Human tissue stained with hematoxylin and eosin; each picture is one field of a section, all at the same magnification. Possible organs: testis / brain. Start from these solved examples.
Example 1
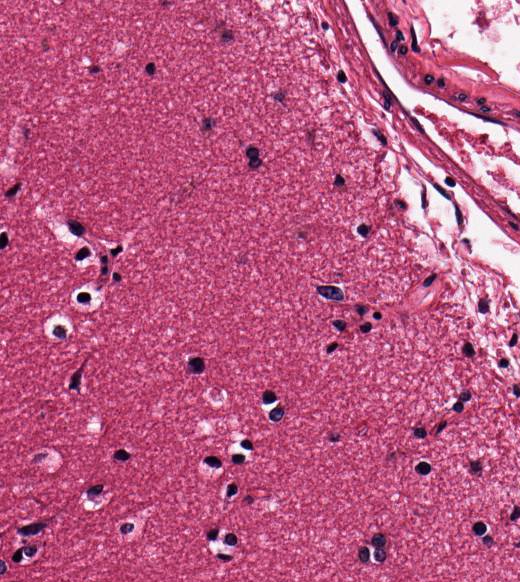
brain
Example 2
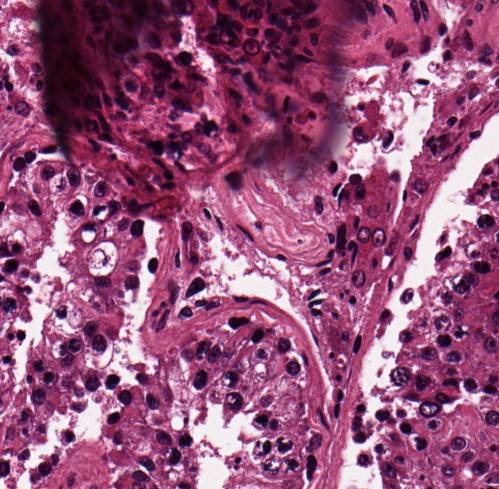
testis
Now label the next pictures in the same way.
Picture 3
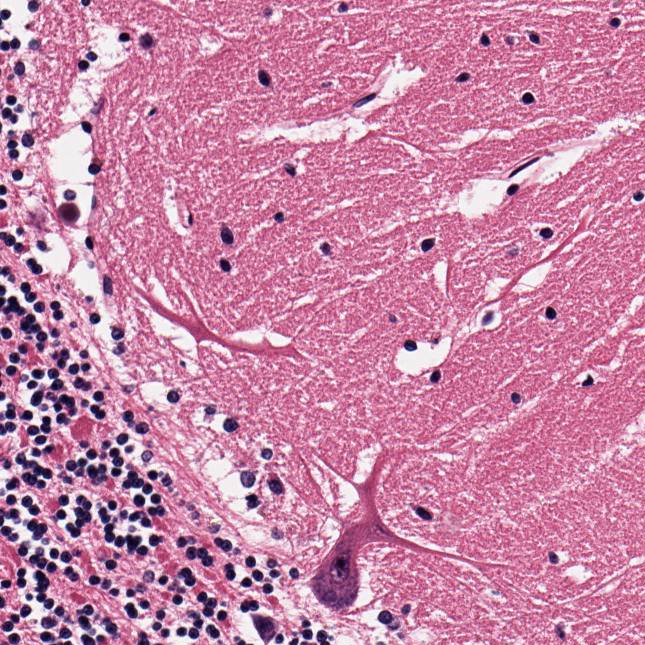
brain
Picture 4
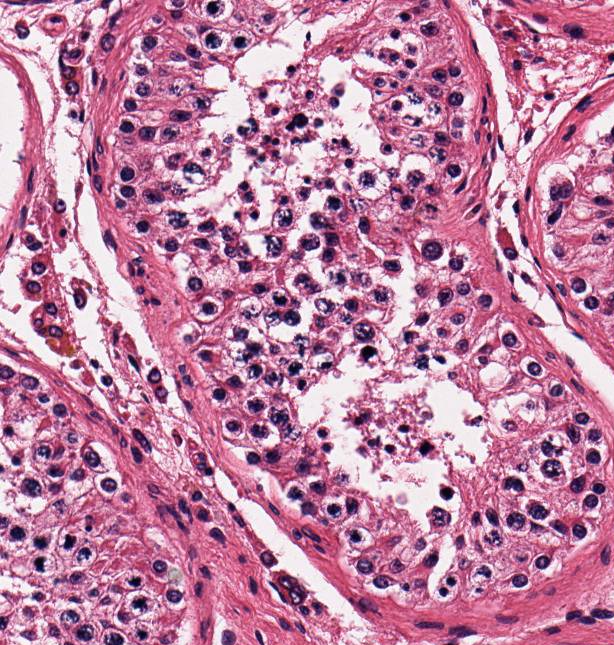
testis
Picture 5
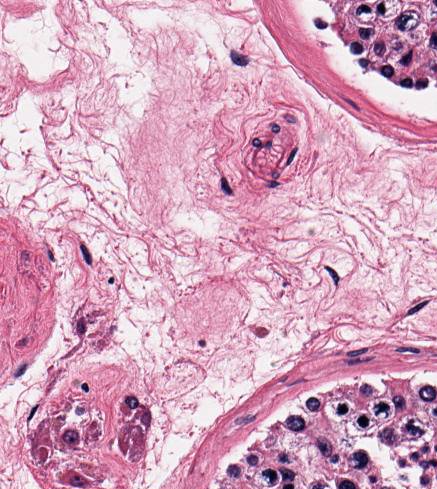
testis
